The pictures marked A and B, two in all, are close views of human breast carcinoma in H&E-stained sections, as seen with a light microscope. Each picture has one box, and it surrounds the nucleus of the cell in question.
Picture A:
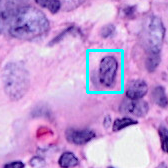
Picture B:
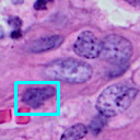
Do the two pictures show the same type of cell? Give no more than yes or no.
no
